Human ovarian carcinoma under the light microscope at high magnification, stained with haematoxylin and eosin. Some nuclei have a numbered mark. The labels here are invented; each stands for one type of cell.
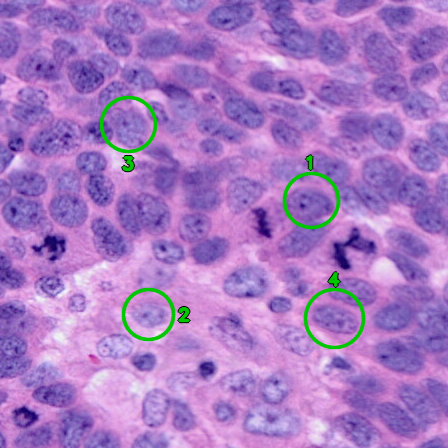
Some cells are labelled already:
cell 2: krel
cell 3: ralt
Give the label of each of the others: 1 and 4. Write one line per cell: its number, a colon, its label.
1: ralt
4: ralt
